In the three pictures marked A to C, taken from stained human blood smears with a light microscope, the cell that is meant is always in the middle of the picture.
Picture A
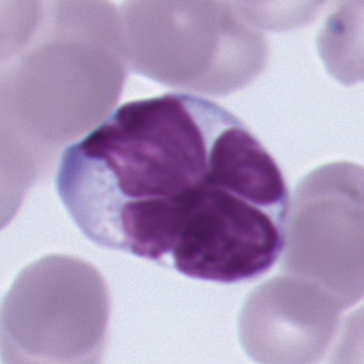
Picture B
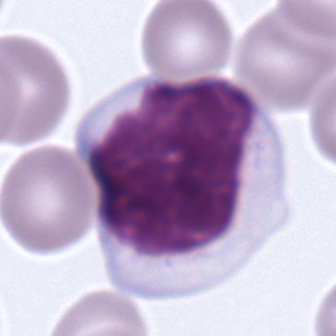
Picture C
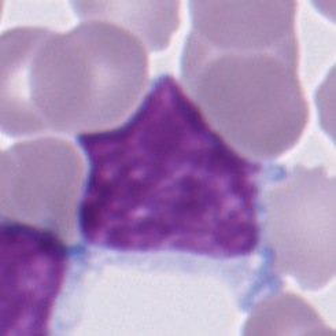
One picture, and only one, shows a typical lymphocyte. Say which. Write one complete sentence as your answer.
Picture C is the one that shows the typical lymphocyte.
